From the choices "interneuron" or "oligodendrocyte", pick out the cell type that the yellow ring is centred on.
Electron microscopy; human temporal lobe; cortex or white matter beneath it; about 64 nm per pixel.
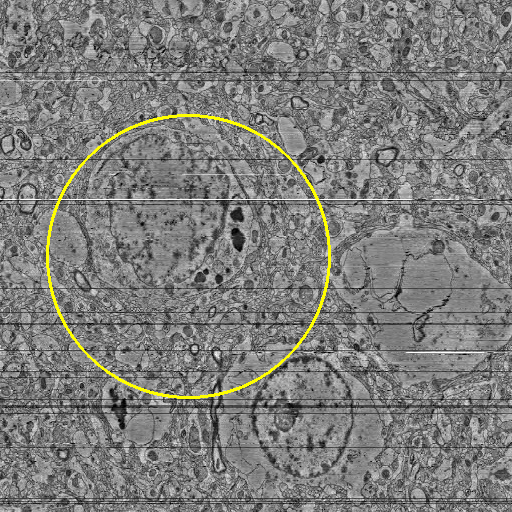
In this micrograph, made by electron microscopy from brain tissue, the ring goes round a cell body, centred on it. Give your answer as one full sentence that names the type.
The yellow ring is centred on an interneuron, whose cell body it encircles in the picture.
